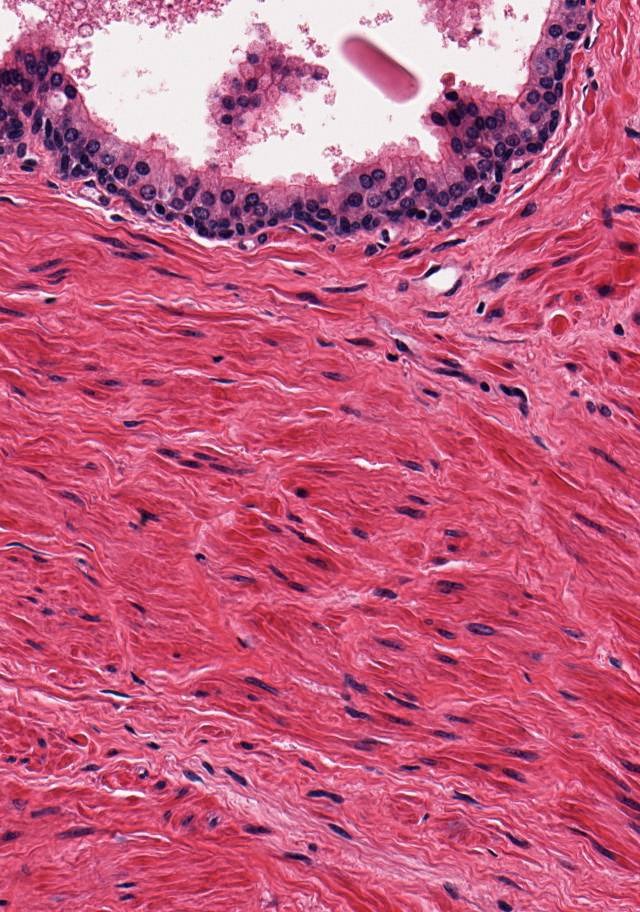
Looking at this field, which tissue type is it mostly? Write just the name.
fibromuscular stroma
